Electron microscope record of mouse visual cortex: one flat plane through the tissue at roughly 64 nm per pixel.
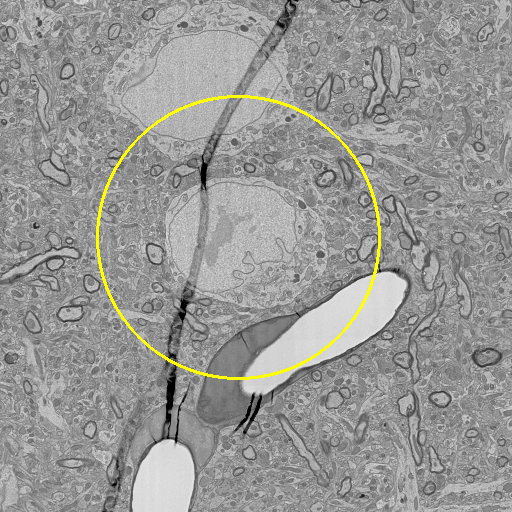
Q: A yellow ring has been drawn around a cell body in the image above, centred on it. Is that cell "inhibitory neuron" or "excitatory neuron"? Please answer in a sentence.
The ring surrounds the cell body of an inhibitory neuron.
